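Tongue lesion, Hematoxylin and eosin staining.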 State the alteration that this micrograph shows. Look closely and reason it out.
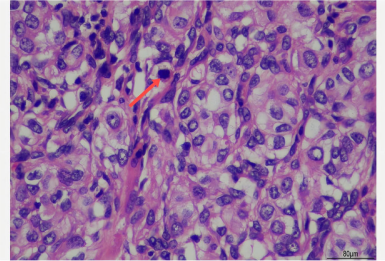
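Clear cytoplasm. Tumor cells have pale, nearly empty-looking cytoplasm. Cell borders are distinct around pale cytoplasm.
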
